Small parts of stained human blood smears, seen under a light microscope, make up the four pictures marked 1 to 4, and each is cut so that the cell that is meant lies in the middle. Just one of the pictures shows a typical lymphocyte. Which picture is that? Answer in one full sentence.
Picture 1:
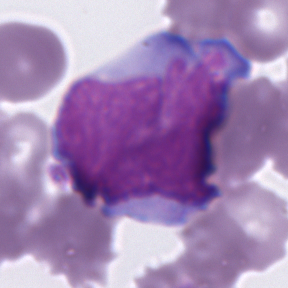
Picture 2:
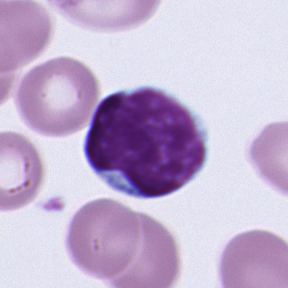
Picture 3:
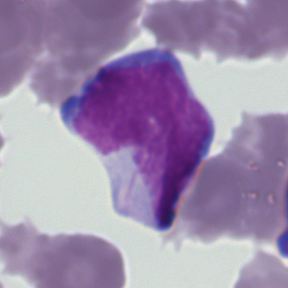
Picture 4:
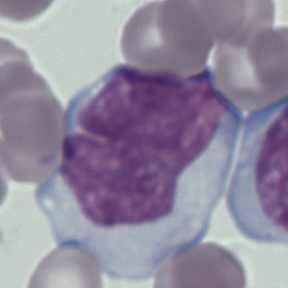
The picture with the typical lymphocyte is 2.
